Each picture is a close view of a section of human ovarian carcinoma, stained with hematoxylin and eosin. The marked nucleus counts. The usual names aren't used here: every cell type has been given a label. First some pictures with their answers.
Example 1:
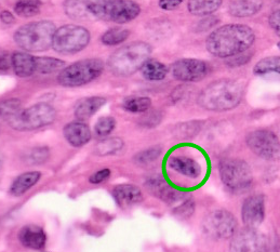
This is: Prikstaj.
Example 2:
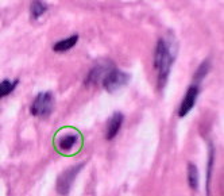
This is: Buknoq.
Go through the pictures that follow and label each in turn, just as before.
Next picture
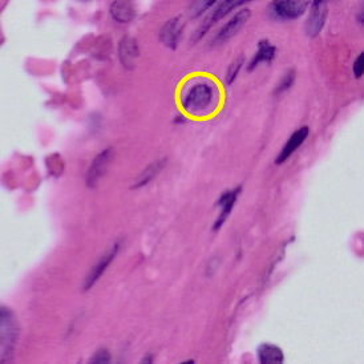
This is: Prikstaj.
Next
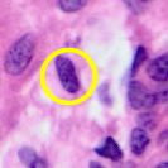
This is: Prikstaj.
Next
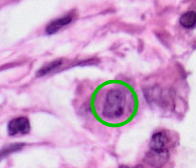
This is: Prikstaj.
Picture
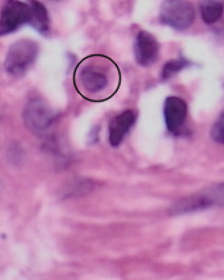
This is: Prikstaj.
